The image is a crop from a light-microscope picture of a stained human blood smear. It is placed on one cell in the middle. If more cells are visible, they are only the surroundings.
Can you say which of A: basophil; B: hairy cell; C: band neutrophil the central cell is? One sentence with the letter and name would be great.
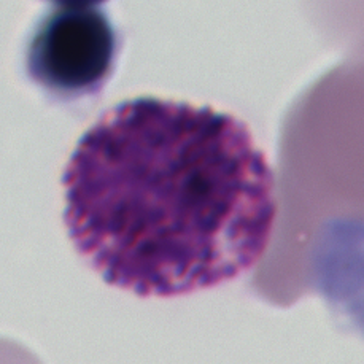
That middle cell is a basophil, and option A is therefore correct.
